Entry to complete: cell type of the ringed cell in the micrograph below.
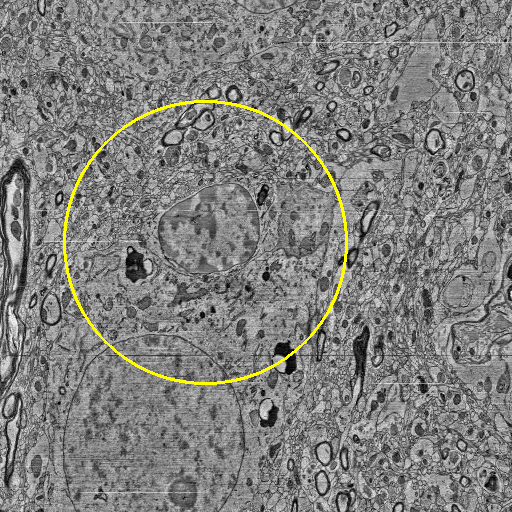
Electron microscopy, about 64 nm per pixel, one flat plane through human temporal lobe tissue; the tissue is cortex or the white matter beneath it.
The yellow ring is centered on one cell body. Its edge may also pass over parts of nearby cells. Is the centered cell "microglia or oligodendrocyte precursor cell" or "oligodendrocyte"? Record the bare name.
microglia or oligodendrocyte precursor cell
